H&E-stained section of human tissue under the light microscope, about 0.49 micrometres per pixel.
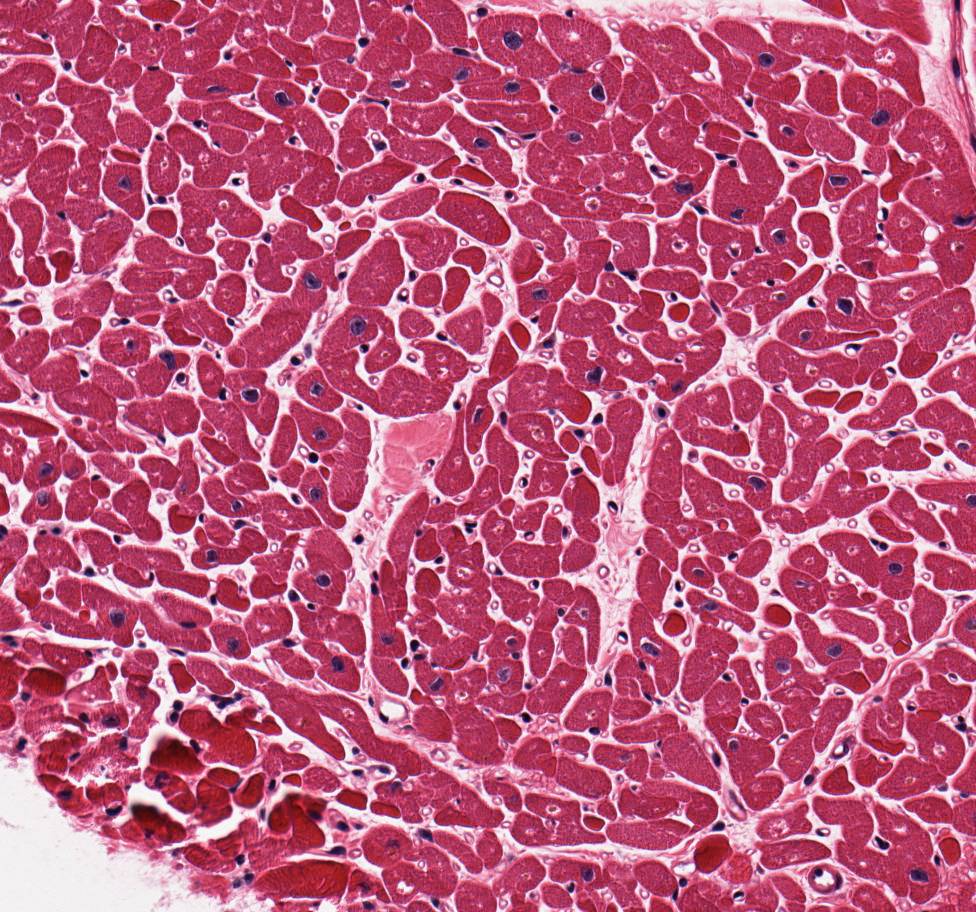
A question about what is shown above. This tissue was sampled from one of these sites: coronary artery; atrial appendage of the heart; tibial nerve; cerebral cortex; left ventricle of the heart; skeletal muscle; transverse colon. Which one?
left ventricle of the heart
